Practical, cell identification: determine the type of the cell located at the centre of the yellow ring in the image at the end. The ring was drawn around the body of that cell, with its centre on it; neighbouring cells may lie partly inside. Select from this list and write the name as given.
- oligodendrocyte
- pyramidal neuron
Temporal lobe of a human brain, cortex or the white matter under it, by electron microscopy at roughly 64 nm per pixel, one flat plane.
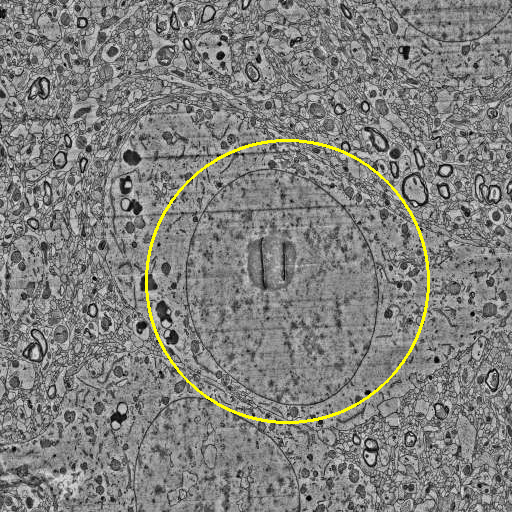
pyramidal neuron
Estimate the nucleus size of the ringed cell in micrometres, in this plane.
In this plane, approximately 16 by 13 micrometers.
